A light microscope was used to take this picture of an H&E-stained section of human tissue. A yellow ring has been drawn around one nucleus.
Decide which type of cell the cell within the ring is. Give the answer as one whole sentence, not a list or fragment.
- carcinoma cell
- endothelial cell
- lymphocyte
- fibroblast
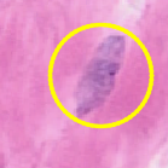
The correct response here is that the cell within the ring is a fibroblast.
